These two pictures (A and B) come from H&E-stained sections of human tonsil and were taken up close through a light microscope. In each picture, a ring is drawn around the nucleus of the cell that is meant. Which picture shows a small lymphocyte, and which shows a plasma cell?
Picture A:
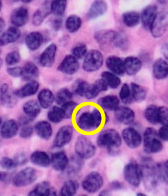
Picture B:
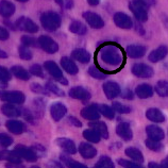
A: small lymphocyte
B: plasma cell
